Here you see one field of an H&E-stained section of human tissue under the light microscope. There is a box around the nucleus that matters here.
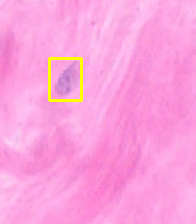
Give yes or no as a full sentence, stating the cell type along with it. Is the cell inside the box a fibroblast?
Yes, in this field of view, the cell inside the box is a fibroblast.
